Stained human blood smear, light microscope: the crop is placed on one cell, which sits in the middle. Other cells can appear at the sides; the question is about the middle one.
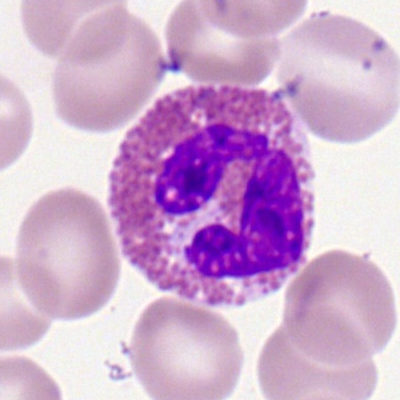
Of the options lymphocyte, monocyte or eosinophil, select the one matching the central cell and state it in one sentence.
The cell at the central position in this crop is an eosinophil.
